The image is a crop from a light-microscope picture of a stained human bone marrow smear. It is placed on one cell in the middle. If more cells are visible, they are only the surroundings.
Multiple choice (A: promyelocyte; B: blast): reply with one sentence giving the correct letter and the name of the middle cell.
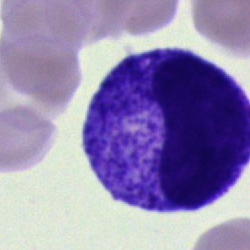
The cell in the middle is a promyelocyte, and that makes option A correct.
